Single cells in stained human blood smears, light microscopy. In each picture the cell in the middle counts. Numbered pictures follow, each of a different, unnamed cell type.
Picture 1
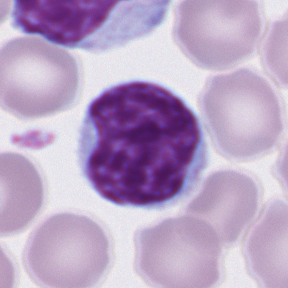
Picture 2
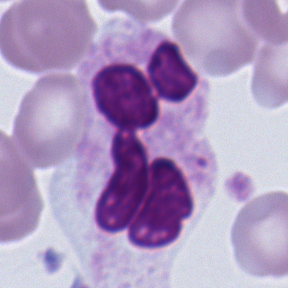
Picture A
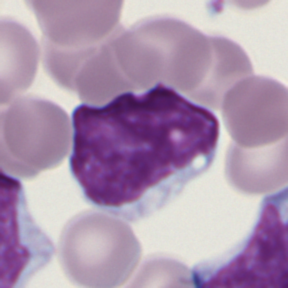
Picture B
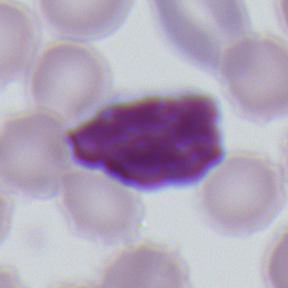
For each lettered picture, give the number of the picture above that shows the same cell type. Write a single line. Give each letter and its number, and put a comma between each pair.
A 1, B 1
